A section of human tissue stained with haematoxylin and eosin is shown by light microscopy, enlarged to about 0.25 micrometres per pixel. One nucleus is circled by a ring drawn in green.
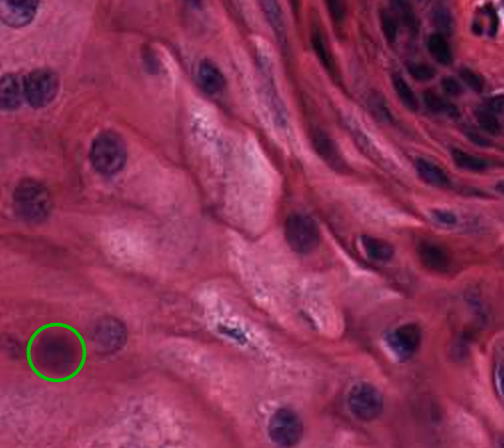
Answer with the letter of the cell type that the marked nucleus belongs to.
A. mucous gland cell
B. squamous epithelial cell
B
